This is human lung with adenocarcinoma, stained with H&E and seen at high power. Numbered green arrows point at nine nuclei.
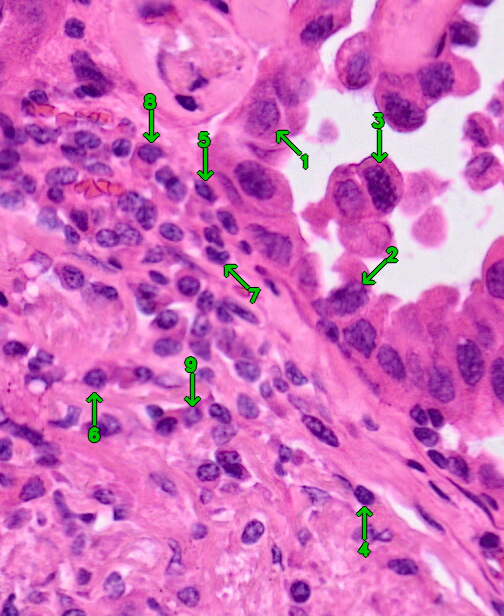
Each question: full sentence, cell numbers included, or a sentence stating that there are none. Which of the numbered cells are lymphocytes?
The cells the numbers 4, 5 and 7 point to are lymphocytes.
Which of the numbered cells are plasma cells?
Cells 6, 8 and 9 are classified as plasma cells.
